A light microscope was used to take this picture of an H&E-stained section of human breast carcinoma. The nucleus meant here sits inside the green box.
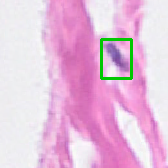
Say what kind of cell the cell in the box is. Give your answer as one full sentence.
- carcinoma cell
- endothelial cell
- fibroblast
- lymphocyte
In the stained section, the cell in the box is a fibroblast.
